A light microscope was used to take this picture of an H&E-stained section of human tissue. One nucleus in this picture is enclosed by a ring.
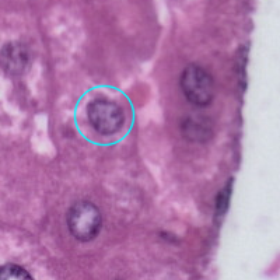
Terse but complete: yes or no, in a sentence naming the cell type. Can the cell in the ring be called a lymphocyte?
No, the cell in the ring is a hepatocyte; calling it a lymphocyte would be wrong.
